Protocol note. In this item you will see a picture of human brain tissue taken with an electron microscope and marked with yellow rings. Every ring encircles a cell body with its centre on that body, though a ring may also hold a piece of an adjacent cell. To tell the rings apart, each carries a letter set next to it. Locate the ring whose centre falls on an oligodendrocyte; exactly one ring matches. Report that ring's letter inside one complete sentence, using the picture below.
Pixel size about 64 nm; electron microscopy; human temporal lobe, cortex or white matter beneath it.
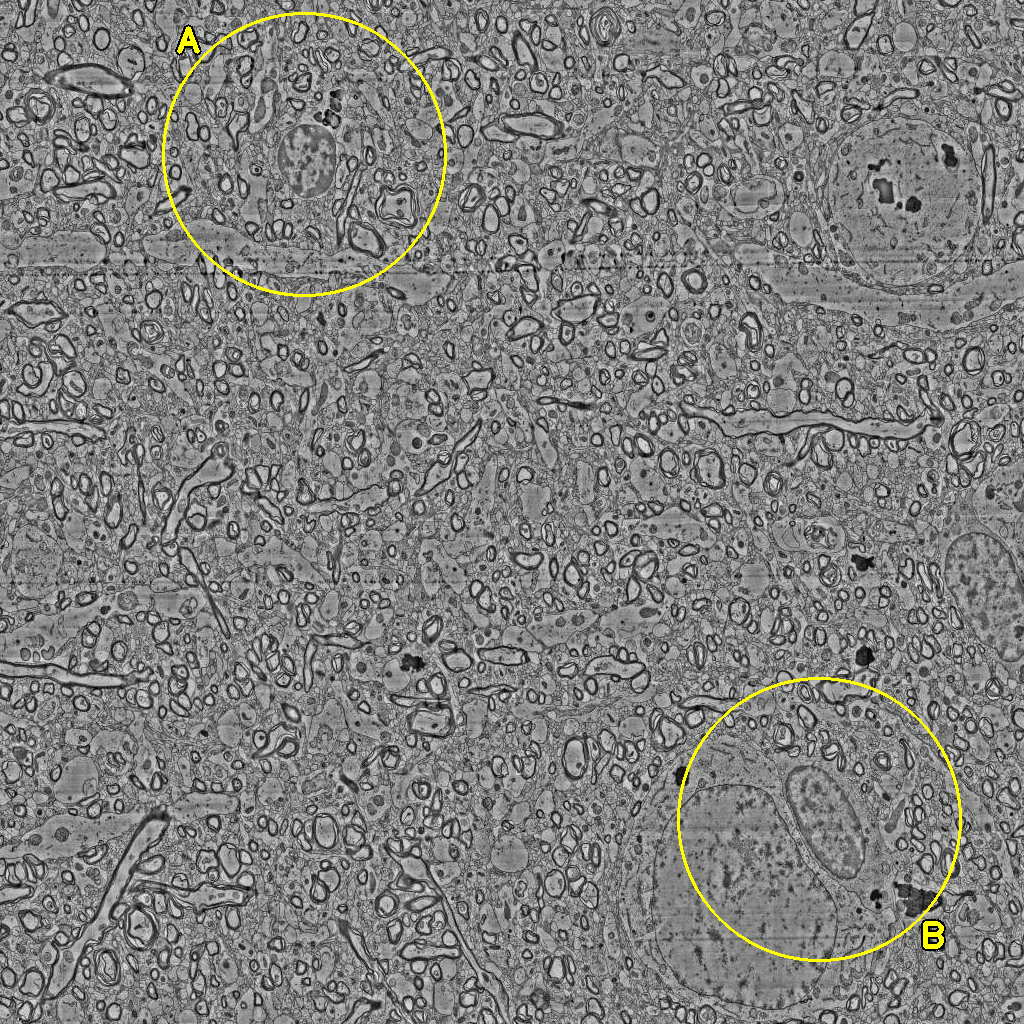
My answer is B, the ring whose centre falls on that kind of cell.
